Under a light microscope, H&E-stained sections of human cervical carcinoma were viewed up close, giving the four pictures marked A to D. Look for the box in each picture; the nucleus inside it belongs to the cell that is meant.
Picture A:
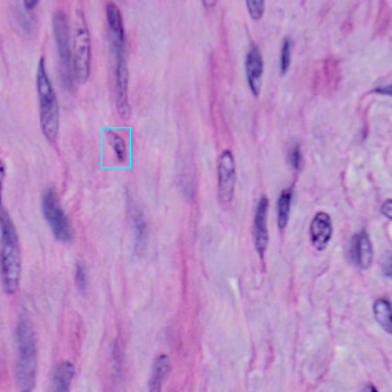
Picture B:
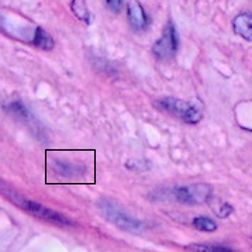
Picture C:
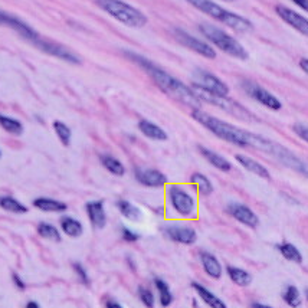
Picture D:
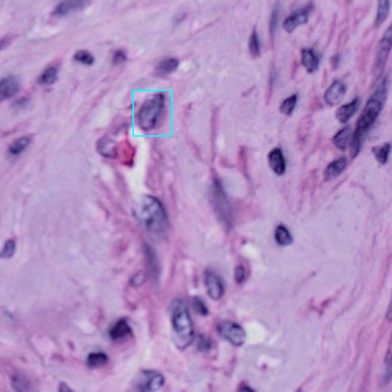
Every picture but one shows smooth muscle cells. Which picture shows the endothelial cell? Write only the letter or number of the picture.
D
